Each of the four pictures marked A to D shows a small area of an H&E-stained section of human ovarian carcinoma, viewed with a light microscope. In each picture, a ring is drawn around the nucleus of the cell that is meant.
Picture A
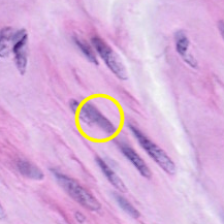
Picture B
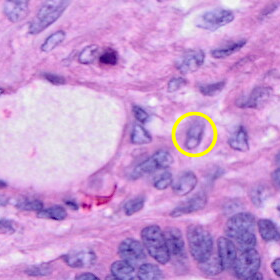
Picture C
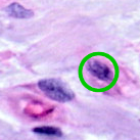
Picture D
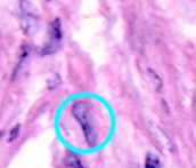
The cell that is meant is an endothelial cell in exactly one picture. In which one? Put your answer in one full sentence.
The cell in picture C is the endothelial cell.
